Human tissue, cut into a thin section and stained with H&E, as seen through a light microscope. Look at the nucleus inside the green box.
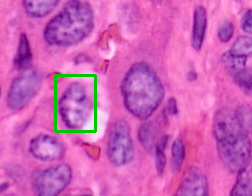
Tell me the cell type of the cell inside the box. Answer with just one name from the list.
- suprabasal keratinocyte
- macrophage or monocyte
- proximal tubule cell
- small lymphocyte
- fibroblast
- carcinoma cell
carcinoma cell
